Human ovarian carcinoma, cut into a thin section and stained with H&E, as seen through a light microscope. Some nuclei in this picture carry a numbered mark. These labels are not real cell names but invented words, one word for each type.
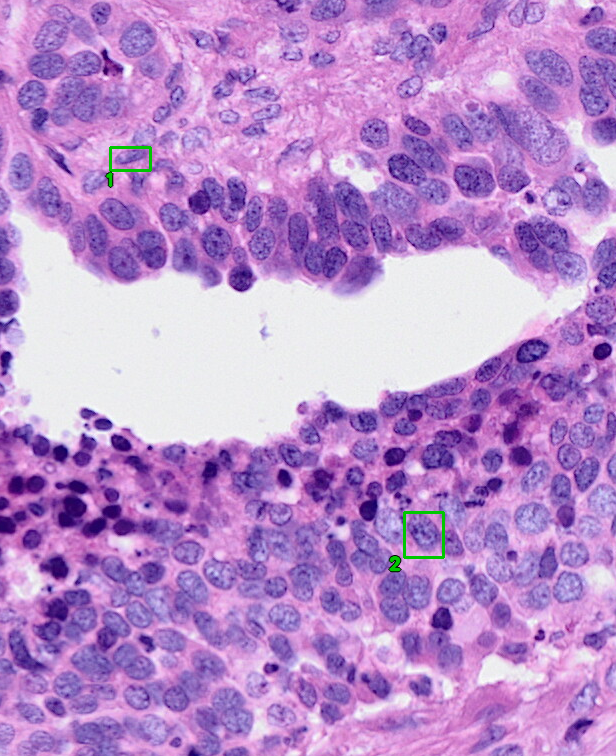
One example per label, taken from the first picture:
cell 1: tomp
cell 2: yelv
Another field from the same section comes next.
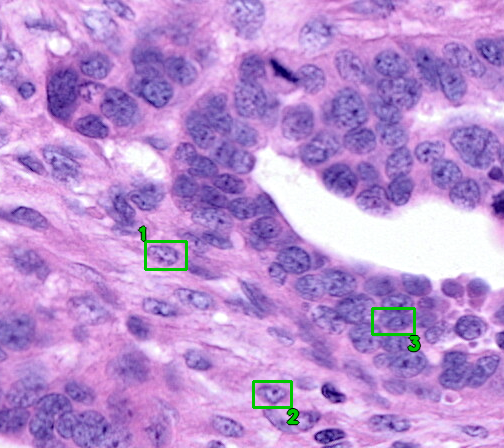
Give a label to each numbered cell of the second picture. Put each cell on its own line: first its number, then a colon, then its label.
1: tomp
2: tomp
3: yelv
